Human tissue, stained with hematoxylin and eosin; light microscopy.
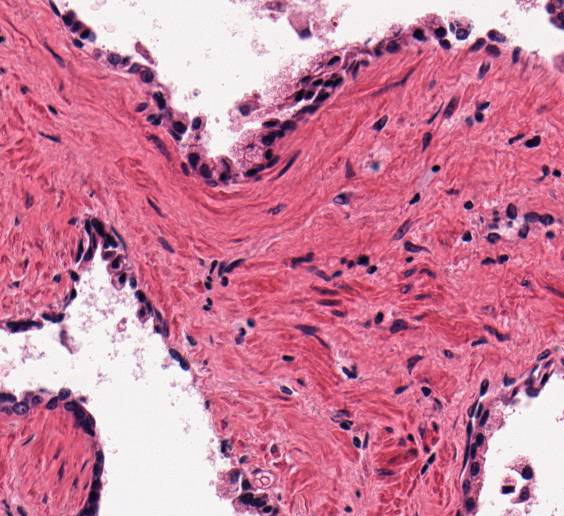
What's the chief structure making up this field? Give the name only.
fibromuscular stroma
